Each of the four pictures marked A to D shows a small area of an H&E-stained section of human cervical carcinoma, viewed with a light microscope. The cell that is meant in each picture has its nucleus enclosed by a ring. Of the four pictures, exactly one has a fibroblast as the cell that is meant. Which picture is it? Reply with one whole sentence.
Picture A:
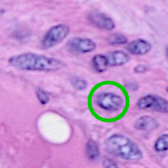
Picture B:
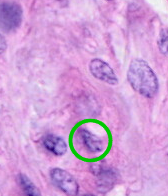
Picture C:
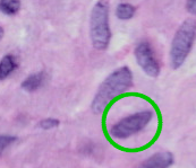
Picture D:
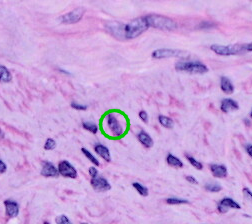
The fibroblast is the one in picture C.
